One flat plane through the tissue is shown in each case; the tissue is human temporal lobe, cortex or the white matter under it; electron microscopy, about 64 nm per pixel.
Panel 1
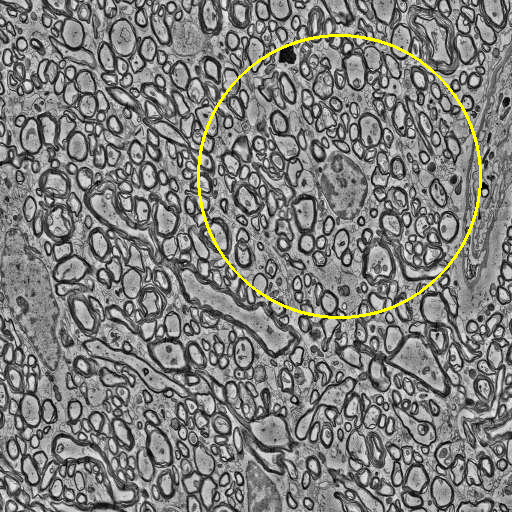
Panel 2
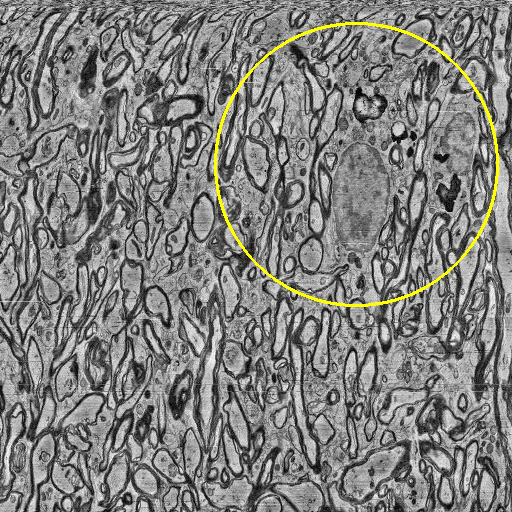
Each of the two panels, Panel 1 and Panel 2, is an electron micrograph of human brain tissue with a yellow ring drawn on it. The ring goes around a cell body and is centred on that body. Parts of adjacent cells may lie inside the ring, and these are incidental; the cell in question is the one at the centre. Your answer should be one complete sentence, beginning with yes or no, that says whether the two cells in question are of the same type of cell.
No, the two cells are of two types.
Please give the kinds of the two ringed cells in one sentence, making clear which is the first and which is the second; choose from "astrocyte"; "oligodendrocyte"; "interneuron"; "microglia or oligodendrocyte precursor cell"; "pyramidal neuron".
In the second picture the ringed cell is an oligodendrocyte; in the first it is a microglial cell or oligodendrocyte precursor cell.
